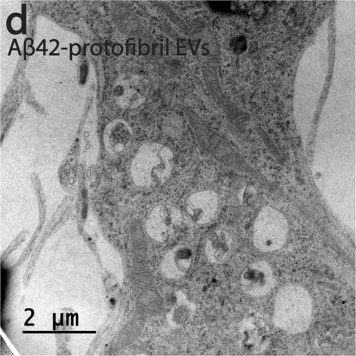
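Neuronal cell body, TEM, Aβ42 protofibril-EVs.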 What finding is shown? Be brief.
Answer: Larger vacuoles were filled with various forms of waste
